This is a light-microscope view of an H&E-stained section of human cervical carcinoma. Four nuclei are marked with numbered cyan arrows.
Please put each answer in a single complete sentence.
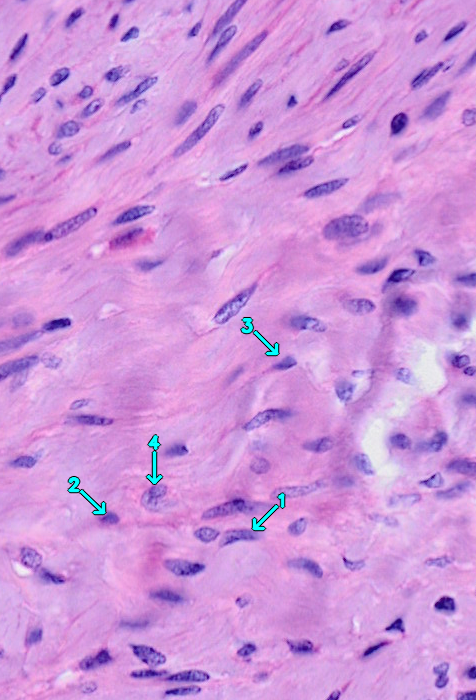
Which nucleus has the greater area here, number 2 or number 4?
It is nucleus 4, which covers about 2.5 times the area of nucleus 2.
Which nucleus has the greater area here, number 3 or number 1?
Nucleus 1 covers more area, about 1.5 times as much as nucleus 3.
